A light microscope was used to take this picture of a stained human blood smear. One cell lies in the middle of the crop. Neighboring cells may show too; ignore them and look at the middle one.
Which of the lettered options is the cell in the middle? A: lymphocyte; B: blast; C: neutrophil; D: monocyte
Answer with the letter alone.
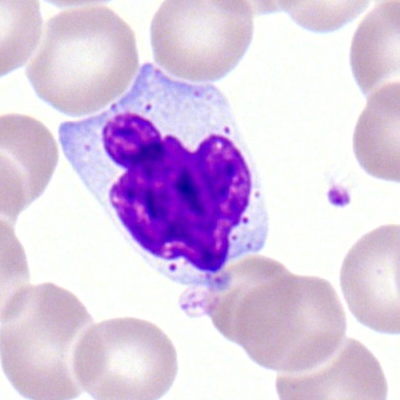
A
